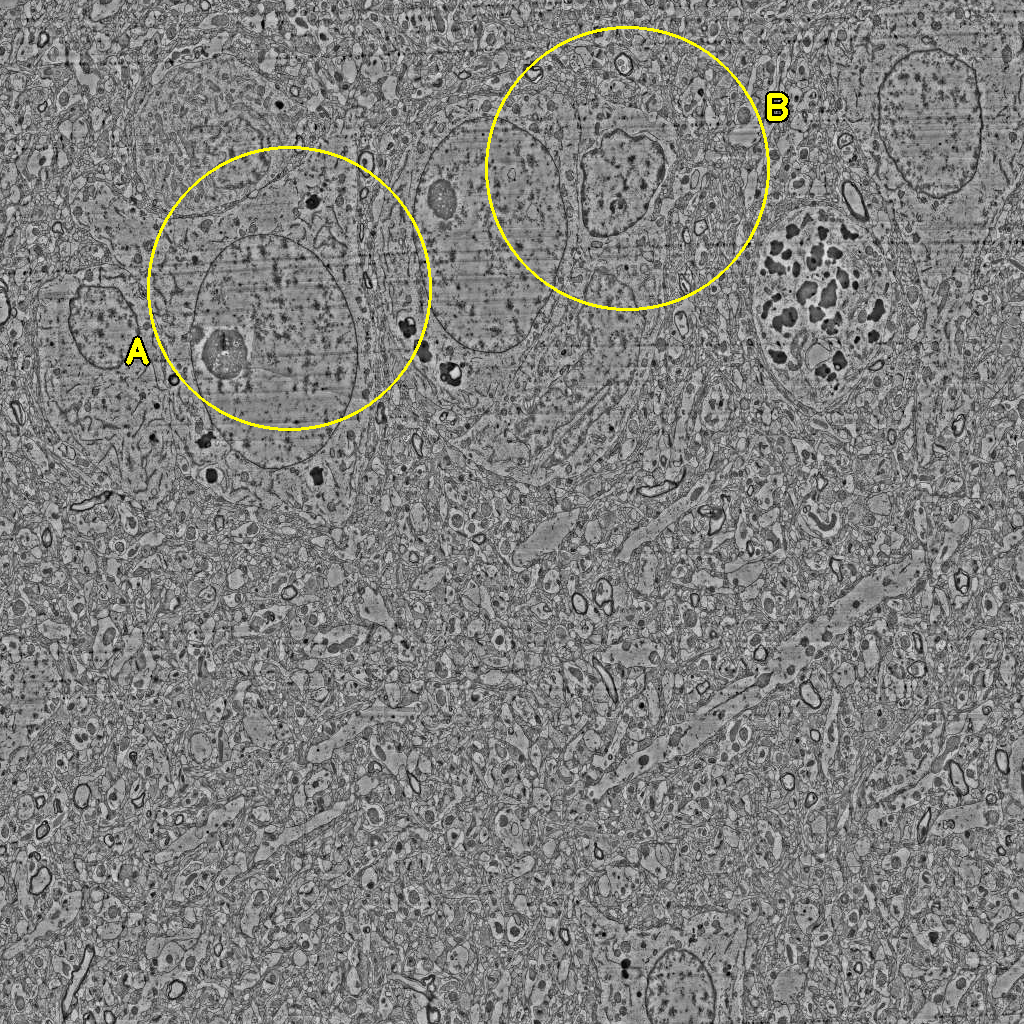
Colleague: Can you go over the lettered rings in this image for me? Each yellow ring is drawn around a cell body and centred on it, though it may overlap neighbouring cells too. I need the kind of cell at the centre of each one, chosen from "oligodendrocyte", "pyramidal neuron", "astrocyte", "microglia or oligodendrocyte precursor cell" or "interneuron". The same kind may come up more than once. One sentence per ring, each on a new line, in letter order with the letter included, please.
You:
Ring A marks the cell body of a pyramidal neuron.
Ring B marks the cell body of a microglial cell or oligodendrocyte precursor cell.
